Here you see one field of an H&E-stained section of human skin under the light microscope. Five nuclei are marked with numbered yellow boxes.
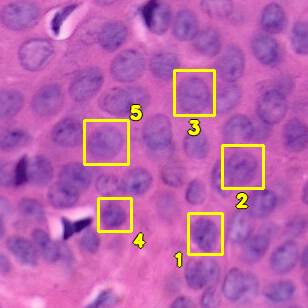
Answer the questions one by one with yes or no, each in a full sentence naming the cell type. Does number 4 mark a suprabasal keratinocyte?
No, cell 4 is correctly identified as a basal keratinocyte and not as a suprabasal keratinocyte.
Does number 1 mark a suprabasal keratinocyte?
No, not a suprabasal keratinocyte: the cell with number 1 is a basal keratinocyte.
